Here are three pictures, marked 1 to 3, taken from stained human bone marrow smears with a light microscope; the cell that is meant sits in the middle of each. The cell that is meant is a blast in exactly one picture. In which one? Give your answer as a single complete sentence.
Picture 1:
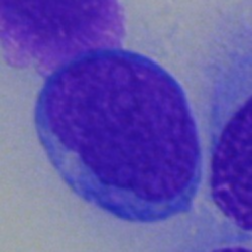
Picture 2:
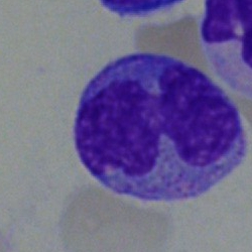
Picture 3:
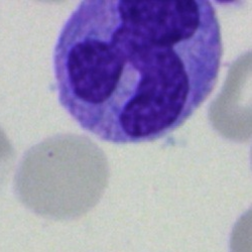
Picture 1 shows the blast.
